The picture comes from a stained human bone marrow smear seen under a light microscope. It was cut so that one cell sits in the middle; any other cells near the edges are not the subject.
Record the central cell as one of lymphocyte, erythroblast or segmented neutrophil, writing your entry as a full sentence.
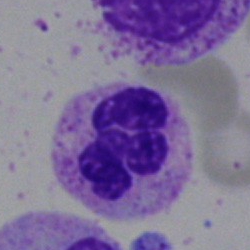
To answer, the cell in the center of the crop is a segmented neutrophil.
